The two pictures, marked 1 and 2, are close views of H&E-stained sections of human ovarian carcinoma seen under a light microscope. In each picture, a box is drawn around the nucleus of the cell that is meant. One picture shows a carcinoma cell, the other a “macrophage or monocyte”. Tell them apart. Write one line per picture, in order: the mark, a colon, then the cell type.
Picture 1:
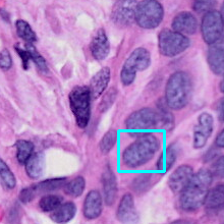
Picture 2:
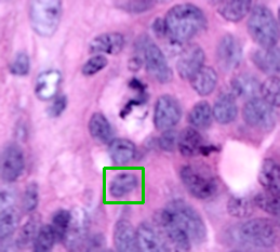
1: carcinoma cell
2: macrophage or monocyte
